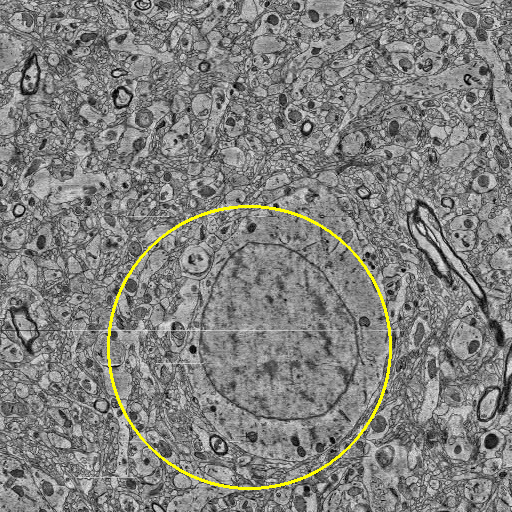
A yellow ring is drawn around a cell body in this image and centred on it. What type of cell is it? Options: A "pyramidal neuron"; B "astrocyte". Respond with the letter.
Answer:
A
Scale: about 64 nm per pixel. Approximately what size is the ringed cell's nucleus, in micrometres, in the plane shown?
The ringed cell's nucleus is about 12 micrometres long and 10 micrometres wide in this plane.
